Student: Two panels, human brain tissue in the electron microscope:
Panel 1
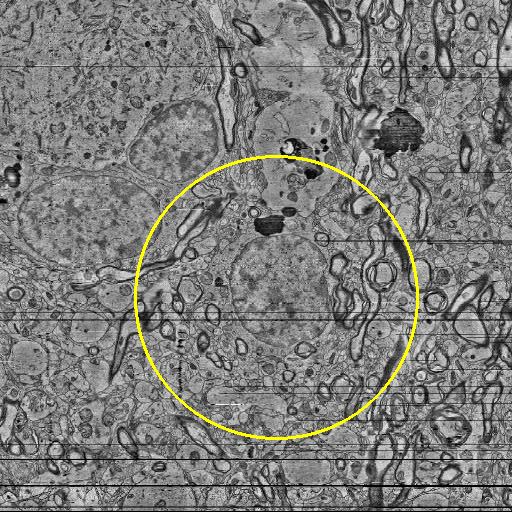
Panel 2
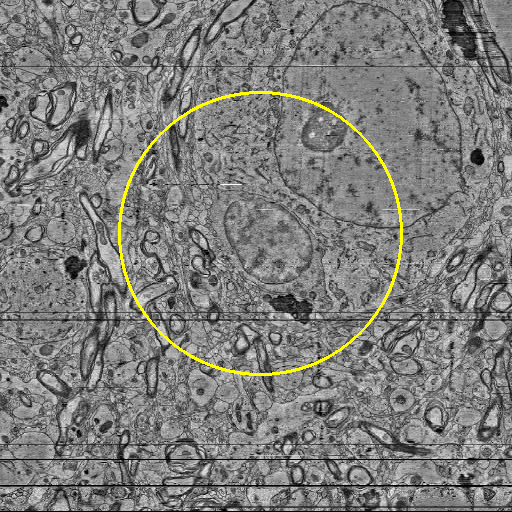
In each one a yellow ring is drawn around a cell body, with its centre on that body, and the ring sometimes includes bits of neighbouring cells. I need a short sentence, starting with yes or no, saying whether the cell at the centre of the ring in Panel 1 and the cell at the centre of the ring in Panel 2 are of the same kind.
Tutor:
Yes, they are the same kind of cell.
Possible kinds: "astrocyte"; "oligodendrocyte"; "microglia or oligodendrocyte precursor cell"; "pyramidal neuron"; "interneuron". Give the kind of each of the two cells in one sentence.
Each of the two rings is centred on an oligodendrocyte.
